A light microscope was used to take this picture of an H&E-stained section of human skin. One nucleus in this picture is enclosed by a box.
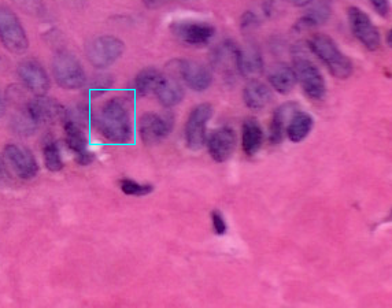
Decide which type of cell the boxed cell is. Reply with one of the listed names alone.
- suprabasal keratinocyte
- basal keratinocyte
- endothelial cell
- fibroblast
basal keratinocyte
